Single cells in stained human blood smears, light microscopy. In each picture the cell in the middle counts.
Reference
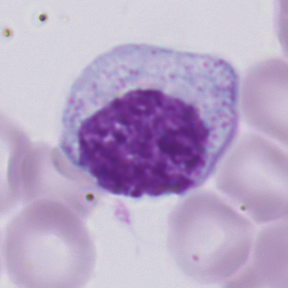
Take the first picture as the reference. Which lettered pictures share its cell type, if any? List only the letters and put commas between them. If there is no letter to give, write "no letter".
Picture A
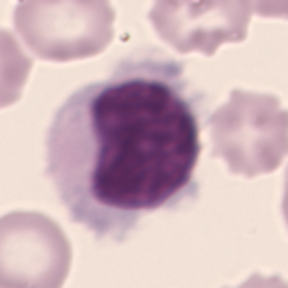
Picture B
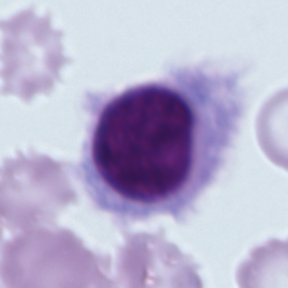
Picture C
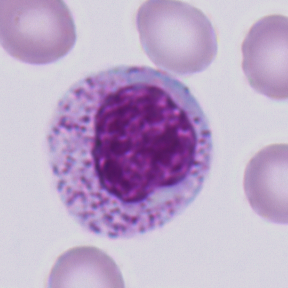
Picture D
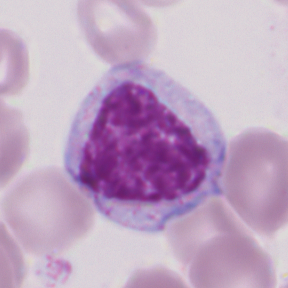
C, D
